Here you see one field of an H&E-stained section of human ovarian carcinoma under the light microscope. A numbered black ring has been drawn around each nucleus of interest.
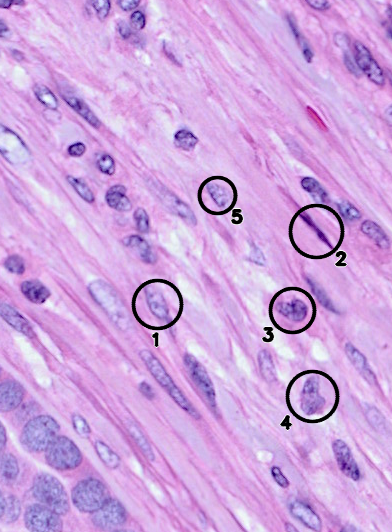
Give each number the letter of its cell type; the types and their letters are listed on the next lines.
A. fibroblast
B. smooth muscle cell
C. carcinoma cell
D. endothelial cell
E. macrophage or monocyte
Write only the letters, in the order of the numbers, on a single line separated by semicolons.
A; A; E; E; A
